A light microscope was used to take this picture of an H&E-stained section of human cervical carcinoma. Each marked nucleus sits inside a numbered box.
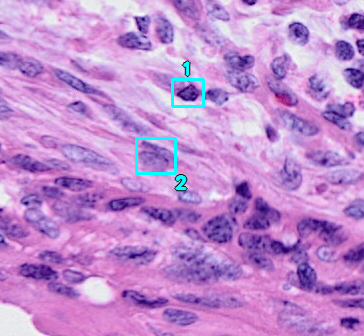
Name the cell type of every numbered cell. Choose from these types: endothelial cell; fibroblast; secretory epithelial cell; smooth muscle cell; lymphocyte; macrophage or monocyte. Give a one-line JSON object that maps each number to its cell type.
{"1": "lymphocyte", "2": "fibroblast"}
